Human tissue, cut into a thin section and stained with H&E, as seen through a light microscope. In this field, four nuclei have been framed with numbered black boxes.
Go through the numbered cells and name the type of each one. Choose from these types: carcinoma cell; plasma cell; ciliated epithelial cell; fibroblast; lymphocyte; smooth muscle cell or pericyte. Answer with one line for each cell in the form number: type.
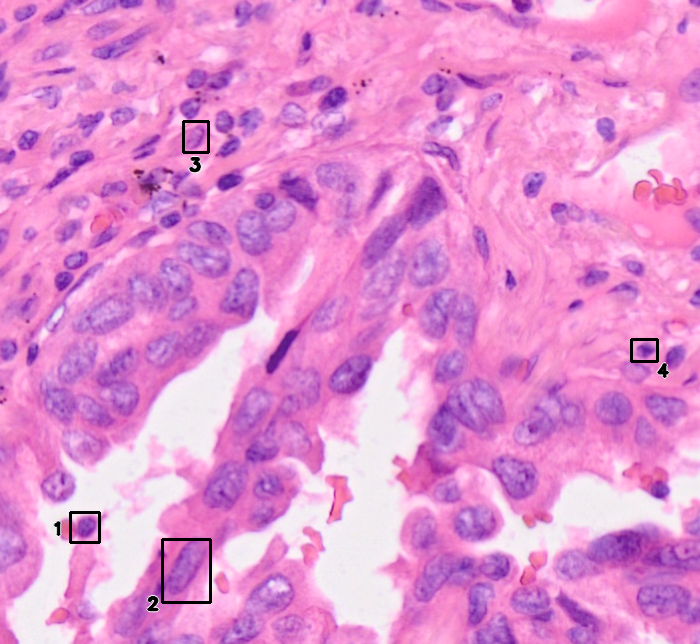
1: lymphocyte
2: carcinoma cell
3: plasma cell
4: lymphocyte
